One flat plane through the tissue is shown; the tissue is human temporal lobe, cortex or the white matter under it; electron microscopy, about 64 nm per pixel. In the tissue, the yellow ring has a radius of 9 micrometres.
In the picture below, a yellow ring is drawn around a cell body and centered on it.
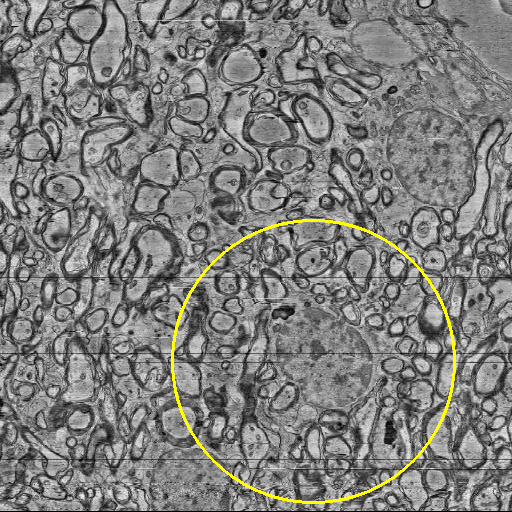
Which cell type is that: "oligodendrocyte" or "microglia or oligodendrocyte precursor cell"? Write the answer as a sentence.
The cell centered in the ring is an oligodendrocyte.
